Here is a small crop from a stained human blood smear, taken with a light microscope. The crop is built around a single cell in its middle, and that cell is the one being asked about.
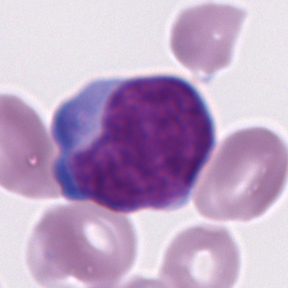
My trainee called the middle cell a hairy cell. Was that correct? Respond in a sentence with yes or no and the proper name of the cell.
No, mark the middle cell as a myeloblast, not a hairy cell.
